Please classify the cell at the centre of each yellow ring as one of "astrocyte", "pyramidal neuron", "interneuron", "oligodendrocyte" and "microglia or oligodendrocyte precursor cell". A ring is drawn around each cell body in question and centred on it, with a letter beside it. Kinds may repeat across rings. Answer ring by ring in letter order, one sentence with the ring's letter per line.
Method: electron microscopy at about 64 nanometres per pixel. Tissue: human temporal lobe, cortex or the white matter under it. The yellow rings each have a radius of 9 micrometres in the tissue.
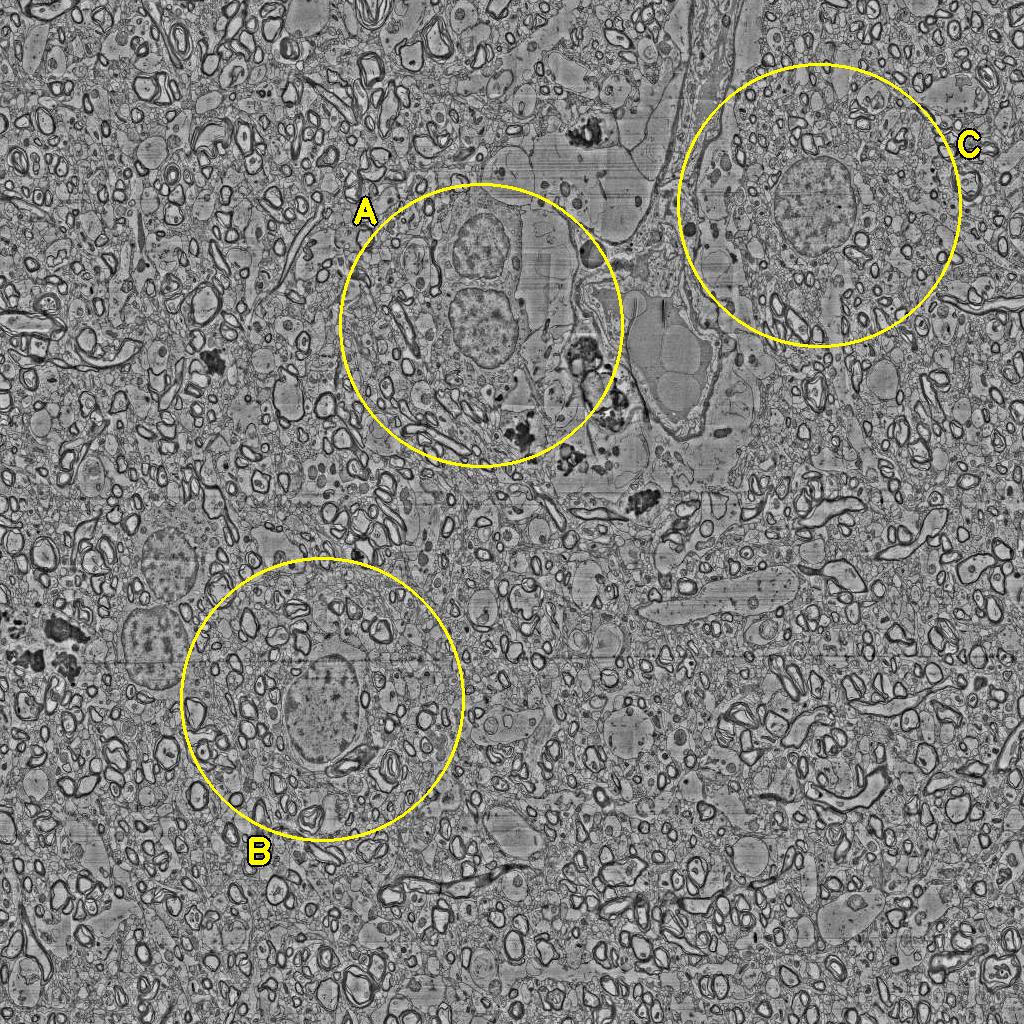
The cell at the heart of ring A is an oligodendrocyte.
The cell at the heart of ring B is a microglial cell or oligodendrocyte precursor cell.
The cell at the heart of ring C is an oligodendrocyte.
